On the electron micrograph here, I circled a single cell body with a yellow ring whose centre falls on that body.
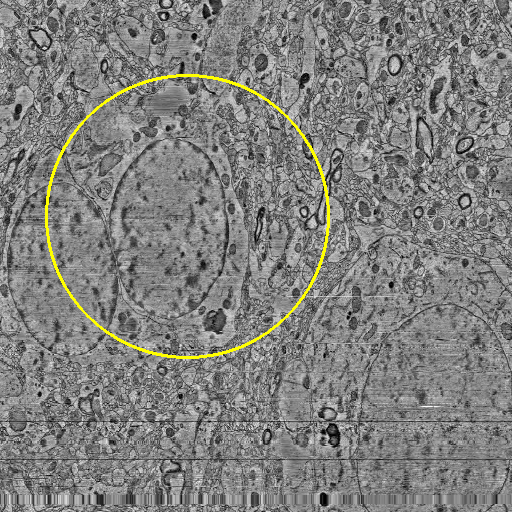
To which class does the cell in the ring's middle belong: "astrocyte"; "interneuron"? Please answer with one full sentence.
In this picture, the cell body circled at the ring's centre belongs to an astrocyte.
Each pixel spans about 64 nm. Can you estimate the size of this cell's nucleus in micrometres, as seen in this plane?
In this plane the nucleus measures about 12 by 8 micrometres and is clearly longer than it is wide.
